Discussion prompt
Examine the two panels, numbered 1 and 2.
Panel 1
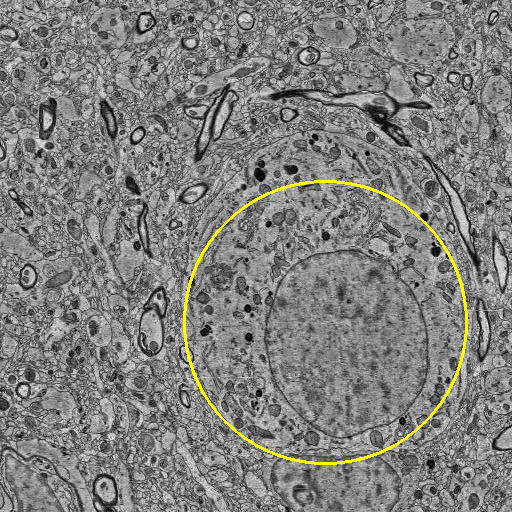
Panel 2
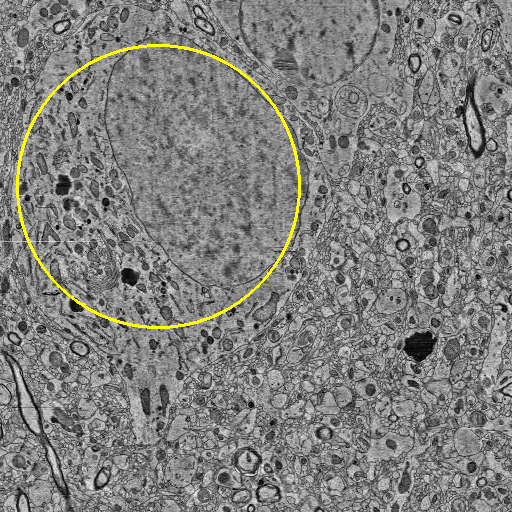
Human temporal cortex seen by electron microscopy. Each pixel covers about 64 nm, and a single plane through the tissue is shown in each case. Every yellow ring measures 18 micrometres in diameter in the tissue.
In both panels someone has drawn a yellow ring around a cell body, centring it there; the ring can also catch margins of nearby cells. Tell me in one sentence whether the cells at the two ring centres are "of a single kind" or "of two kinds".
Taken together, the two cells centred in the rings of Panels 1 and 2 are of a single kind.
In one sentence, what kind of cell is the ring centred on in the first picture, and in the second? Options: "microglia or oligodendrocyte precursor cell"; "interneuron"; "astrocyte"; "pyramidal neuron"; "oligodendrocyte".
Each cell, in the first picture and the second, is an interneuron.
